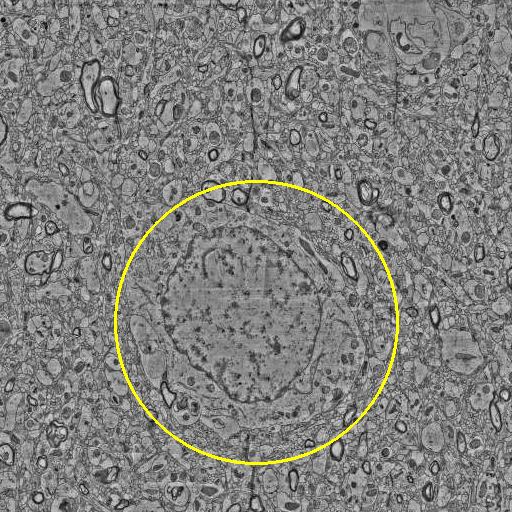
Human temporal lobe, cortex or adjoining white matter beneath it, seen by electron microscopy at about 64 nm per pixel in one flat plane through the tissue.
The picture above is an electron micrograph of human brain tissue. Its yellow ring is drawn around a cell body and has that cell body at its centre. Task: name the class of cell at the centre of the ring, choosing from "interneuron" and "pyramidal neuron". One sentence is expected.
The ring surrounds the body of an interneuron.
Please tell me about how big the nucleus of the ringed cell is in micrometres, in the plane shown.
The nucleus comes to roughly 12 by 10 micrometres in this plane.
